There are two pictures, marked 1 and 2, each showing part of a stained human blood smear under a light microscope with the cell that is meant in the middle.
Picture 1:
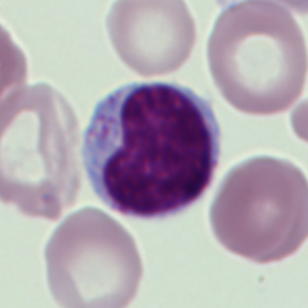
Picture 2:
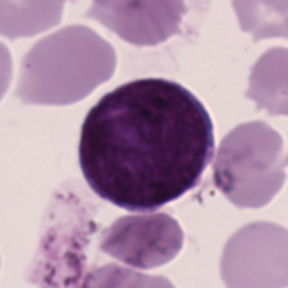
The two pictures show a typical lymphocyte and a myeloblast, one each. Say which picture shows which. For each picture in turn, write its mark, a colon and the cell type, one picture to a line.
1: typical lymphocyte
2: myeloblast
